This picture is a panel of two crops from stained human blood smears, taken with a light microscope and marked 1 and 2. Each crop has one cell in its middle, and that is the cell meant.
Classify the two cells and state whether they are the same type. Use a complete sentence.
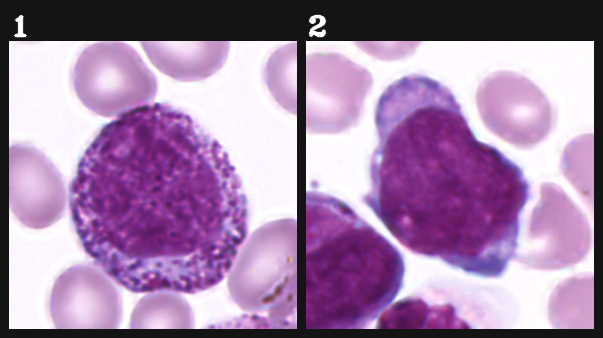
No, whereas crop 1 shows a myelocyte, crop 2 shows an atypical promyelocyte.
